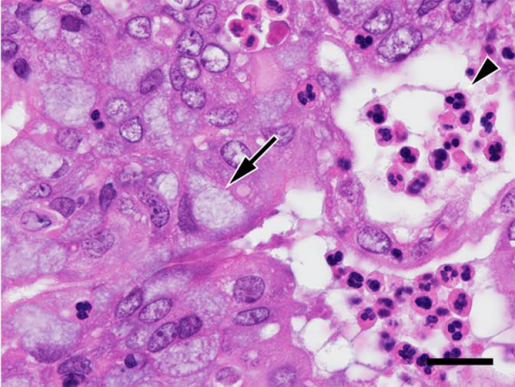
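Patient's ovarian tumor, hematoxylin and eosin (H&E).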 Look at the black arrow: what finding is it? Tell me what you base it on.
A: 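The arrow points to an epithelial cell with pale, foamy, grey-blue cytoplasm. Several neighbouring tumor cells also have pale, bubbly cytoplasm.
Hence: mucinous differentiation.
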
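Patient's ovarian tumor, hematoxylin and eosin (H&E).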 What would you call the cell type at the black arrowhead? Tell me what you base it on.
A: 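The arrowhead marks small cells with lobed, segmented dark nuclei. These cells cluster inside a clear glandular space. On this evidence: neutrophils.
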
